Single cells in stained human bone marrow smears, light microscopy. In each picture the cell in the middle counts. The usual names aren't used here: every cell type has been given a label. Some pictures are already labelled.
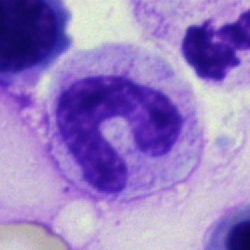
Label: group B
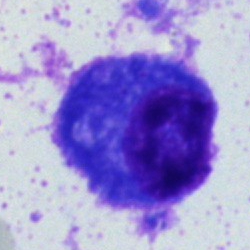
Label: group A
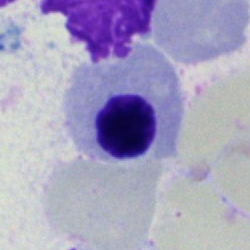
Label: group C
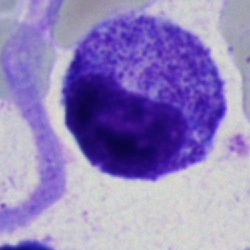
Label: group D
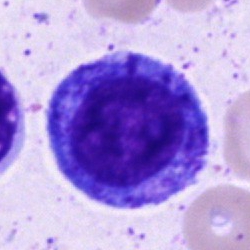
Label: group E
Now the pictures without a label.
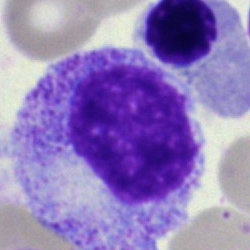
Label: group D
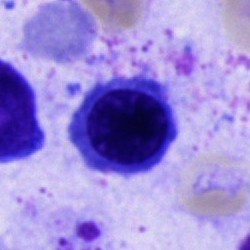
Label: group C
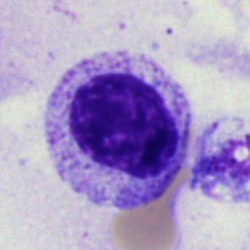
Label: group D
